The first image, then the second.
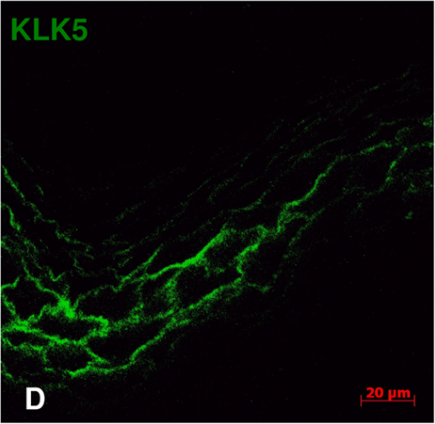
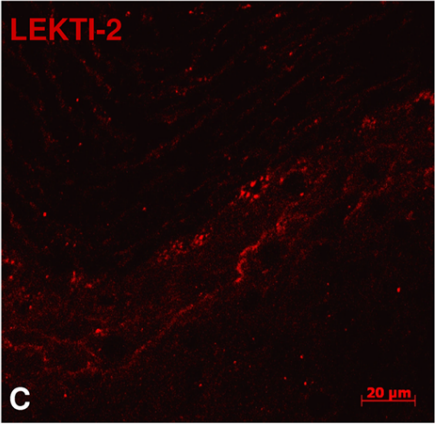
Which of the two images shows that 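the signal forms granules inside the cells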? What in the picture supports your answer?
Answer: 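Second image: the red signal appears as clustered dots and granules, with only faint thin lines. The answer: the second image.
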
